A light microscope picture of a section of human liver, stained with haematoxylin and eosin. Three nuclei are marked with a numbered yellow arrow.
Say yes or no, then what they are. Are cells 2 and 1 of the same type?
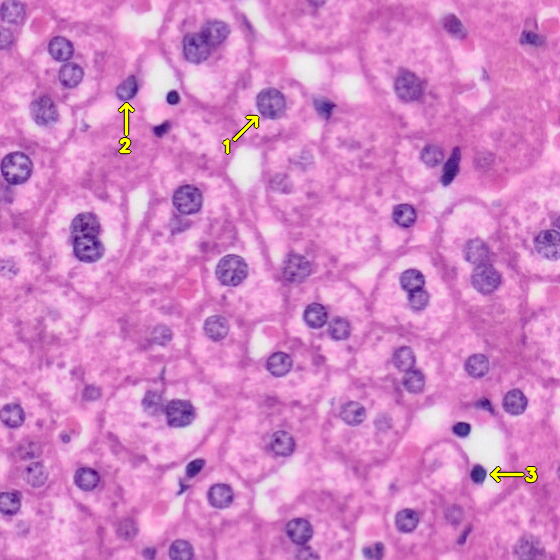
No, that's wrong; cell 2 is a Kupffer cell and cell 1 is a hepatocyte.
